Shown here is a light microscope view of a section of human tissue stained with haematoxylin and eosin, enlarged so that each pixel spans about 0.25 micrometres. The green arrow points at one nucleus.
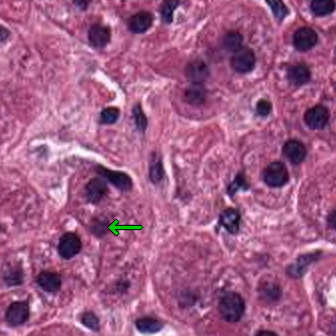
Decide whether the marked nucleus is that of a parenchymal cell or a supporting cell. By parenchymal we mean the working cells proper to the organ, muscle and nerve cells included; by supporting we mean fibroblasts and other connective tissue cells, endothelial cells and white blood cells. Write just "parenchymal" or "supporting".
parenchymal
